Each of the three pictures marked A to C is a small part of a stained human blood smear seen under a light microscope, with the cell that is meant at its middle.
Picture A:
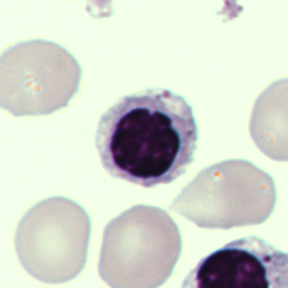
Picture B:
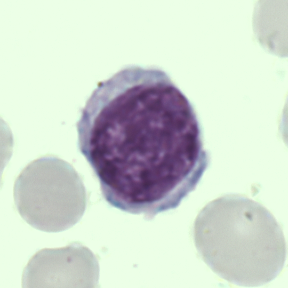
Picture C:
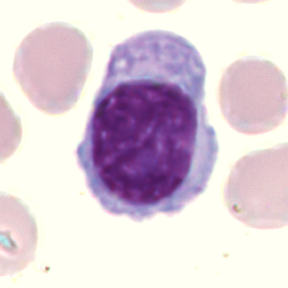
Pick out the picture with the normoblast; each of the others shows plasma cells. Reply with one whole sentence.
The normoblast is the one in picture A.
